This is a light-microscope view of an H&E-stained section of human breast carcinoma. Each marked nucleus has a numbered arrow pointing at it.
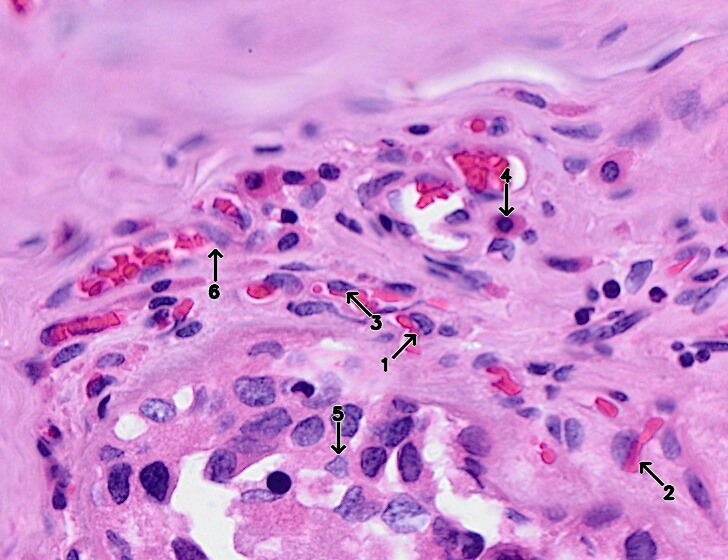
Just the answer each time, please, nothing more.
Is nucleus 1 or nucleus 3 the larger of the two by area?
1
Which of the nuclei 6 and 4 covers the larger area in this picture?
6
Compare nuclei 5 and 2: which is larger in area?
2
